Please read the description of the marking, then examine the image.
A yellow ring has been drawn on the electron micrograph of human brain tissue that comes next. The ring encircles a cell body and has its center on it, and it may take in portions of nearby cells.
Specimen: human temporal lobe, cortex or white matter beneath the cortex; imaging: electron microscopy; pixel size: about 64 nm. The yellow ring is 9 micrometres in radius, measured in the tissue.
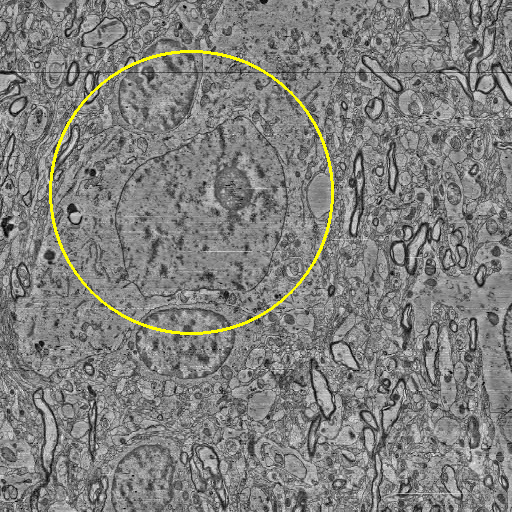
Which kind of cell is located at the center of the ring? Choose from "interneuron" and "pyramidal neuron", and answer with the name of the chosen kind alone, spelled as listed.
pyramidal neuron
